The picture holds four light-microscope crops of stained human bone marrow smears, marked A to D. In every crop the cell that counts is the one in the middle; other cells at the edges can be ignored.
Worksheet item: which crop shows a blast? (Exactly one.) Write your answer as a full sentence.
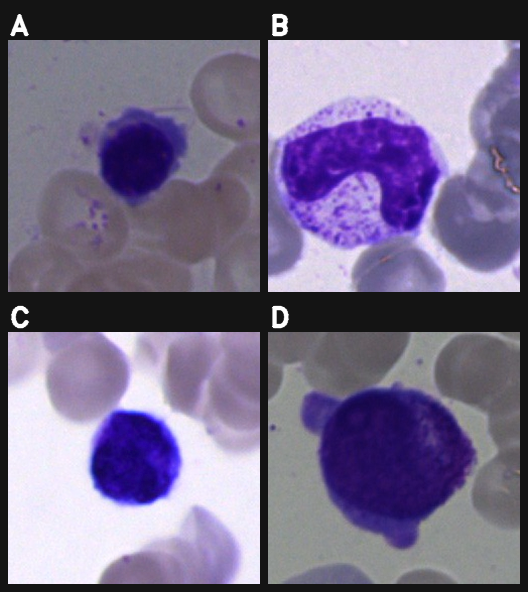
Selected crop: D, which is the one that shows a blast.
